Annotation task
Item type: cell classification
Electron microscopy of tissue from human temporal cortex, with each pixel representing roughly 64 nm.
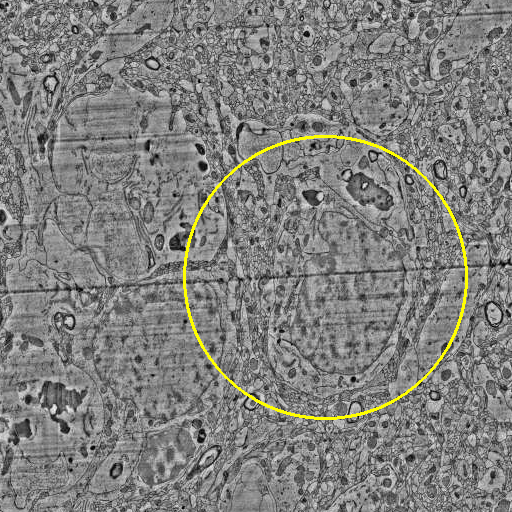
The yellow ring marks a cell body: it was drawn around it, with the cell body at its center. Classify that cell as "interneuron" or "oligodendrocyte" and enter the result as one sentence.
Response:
The ring's center falls on an interneuron.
